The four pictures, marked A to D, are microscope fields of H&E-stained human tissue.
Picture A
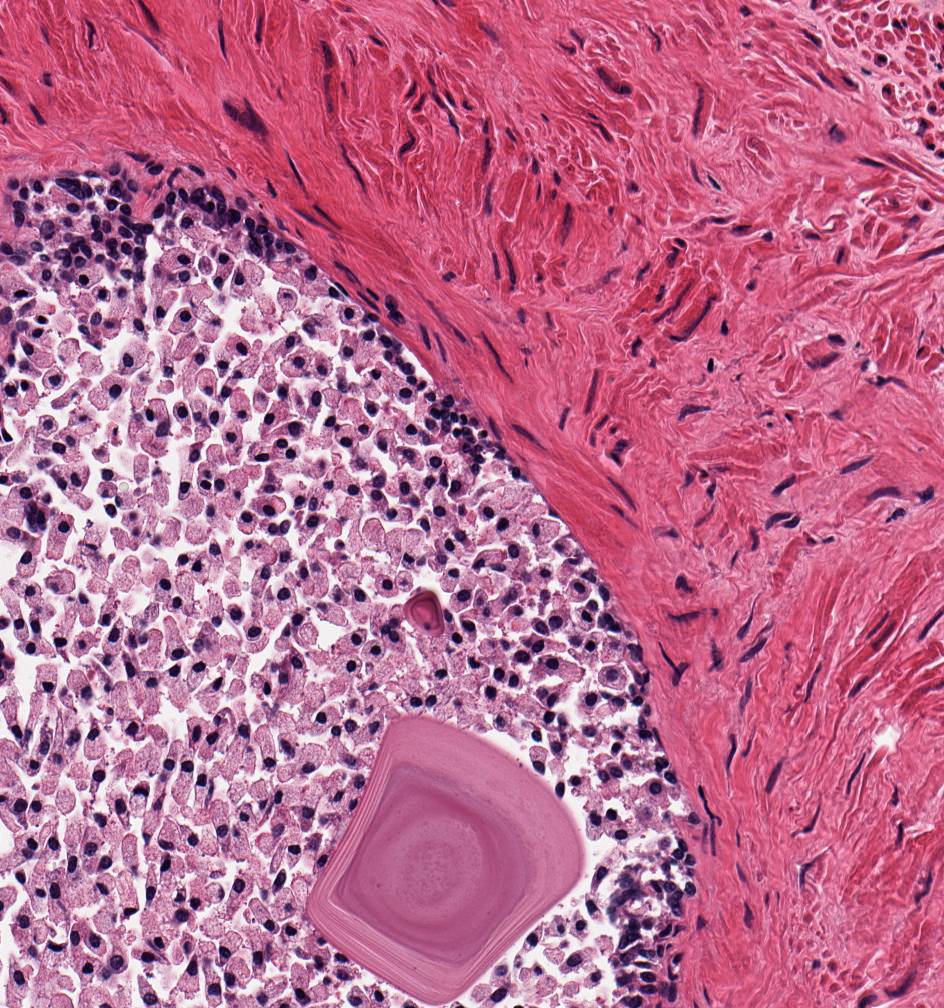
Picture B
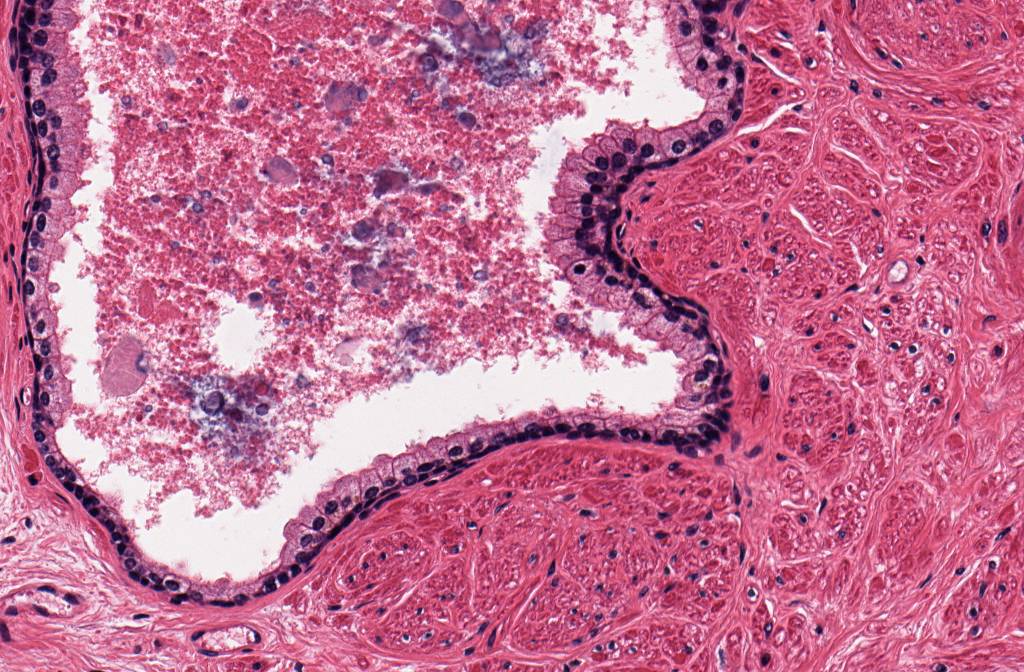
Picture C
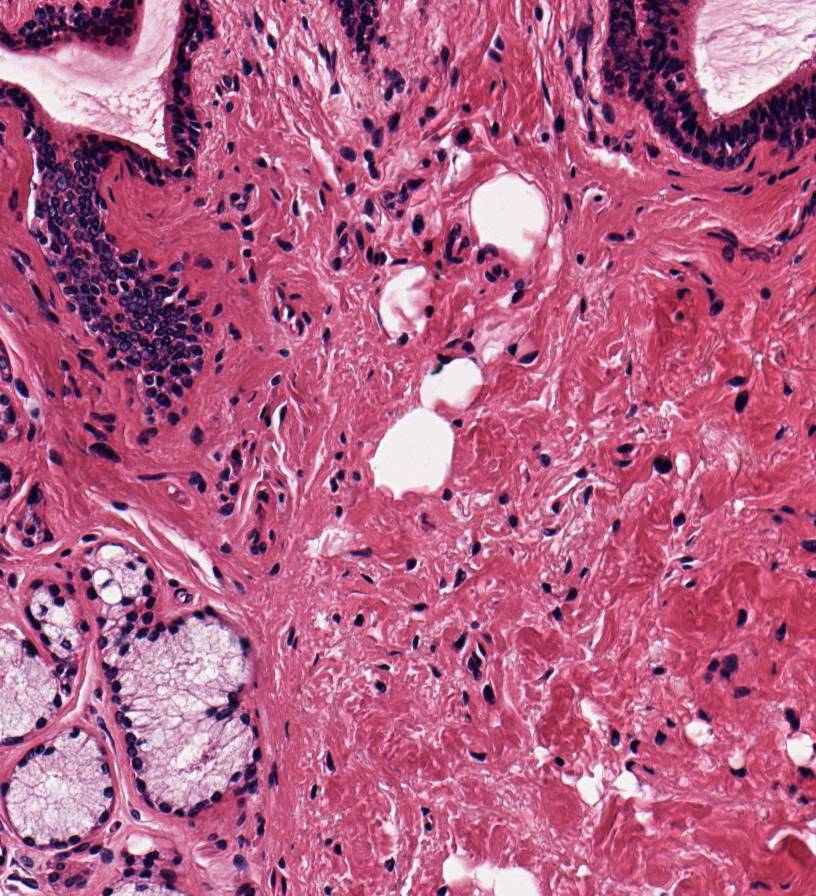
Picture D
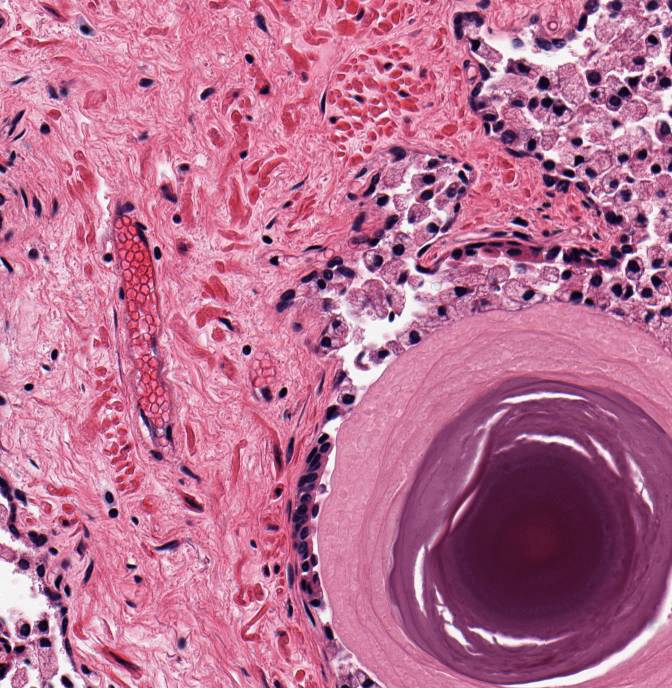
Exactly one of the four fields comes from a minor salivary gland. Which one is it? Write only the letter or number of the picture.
C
